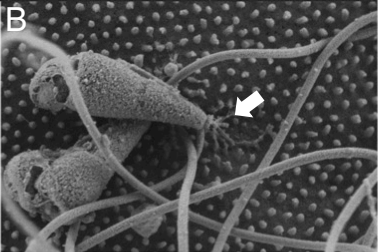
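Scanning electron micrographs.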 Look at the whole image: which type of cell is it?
Sperm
